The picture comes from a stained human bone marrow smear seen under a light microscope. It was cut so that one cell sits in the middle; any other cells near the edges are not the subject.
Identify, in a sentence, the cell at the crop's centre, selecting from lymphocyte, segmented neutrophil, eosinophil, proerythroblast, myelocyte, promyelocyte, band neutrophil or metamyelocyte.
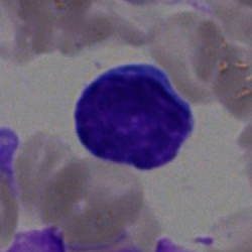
This crop's central cell is a lymphocyte.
